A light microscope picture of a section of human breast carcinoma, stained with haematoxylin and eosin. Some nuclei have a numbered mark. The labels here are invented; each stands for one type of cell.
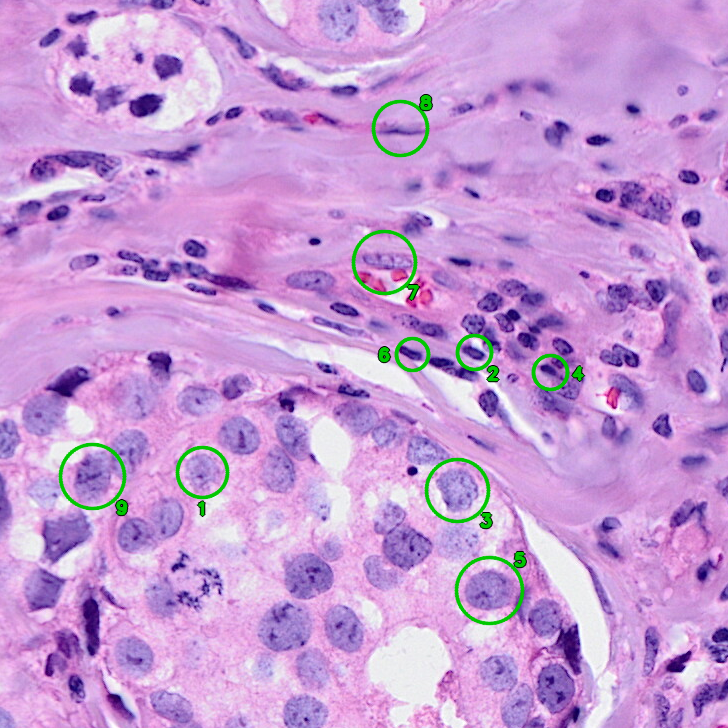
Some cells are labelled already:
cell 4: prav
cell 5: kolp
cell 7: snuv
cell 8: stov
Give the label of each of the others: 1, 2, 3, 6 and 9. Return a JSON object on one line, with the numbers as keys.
{"1": "kolp", "2": "prav", "3": "kolp", "6": "prav", "9": "kolp"}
